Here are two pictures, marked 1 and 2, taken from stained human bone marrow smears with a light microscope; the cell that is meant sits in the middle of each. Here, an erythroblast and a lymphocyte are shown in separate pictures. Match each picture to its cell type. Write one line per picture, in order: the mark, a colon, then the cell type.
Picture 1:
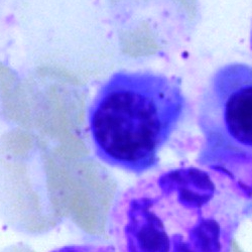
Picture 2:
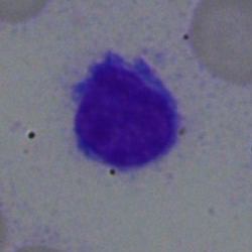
1: erythroblast
2: lymphocyte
